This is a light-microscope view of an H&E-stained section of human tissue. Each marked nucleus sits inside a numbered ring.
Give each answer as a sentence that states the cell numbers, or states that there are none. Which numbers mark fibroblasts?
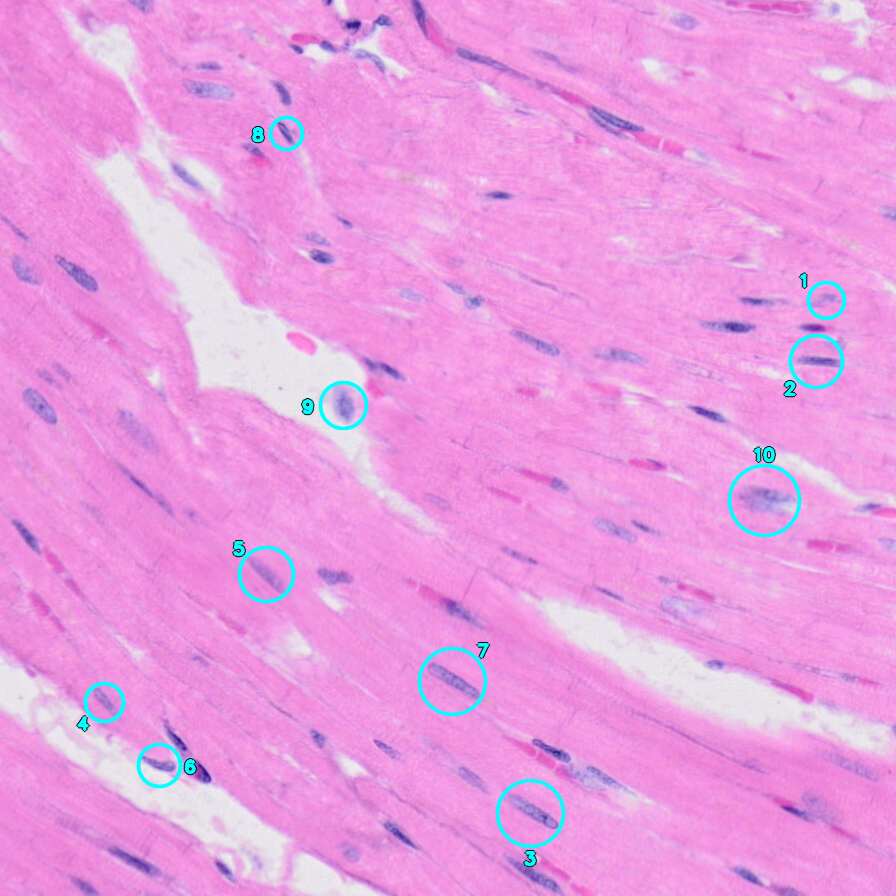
Cells numbered 6 and 9 belong to the group of fibroblasts.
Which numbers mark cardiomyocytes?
The cells that have numbers 1, 3, 4, 5, 7 and 10 are cardiomyocytes.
